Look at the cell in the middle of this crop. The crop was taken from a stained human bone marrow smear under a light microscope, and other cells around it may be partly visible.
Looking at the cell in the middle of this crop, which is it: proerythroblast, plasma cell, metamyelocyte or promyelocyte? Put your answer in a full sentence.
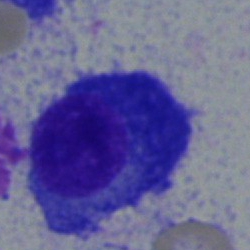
This particular crop is centered on a plasma cell.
